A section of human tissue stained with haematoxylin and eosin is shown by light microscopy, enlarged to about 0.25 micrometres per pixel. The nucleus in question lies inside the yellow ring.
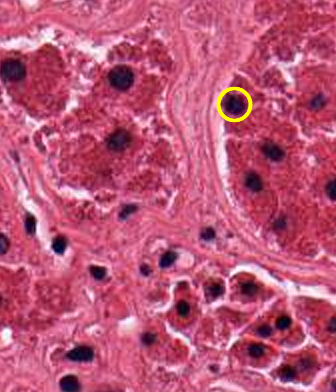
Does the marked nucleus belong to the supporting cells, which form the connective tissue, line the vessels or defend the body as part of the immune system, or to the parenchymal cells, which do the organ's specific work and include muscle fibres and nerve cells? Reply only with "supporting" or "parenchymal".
parenchymal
